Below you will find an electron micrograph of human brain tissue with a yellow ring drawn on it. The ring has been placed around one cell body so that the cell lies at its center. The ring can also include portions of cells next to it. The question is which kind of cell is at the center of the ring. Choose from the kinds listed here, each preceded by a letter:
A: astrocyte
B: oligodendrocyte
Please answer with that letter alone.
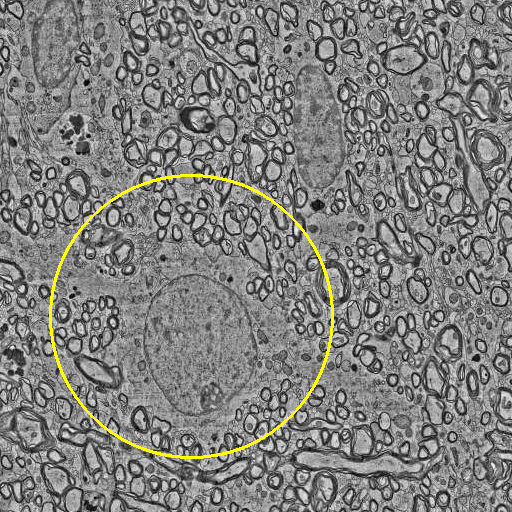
A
